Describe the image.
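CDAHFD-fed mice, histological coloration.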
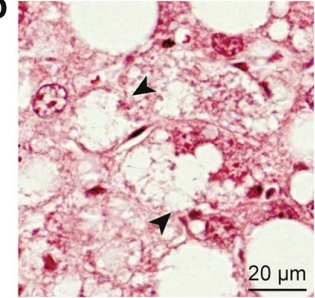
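This is a high-power view of liver with hepatocyte ballooning: the cells marked by the arrowheads are swollen and their cytoplasm is pale and cleared, with a fine wispy pink network and many small clear vacuoles. Around them lie large round empty fat vacuoles of varying size. Scattered dark purple nuclei and denser pink cytoplasm belong to the neighbouring cells between the vacuoles.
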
